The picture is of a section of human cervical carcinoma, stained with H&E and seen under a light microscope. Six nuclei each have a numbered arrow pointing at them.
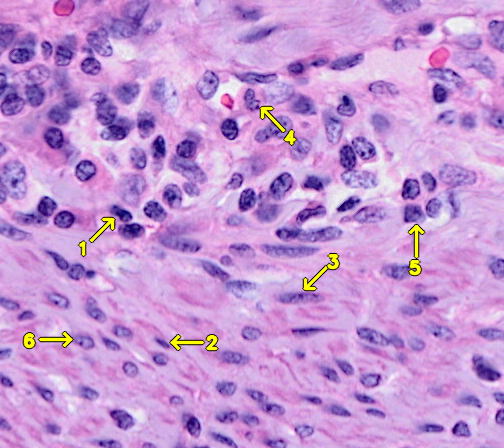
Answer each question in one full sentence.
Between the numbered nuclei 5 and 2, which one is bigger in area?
At about 3 times the area of nucleus 2, nucleus 5 is the larger of the two.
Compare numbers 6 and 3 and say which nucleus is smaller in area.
Nucleus 6 is the smaller one; nucleus 3 covers about 2 times its area.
